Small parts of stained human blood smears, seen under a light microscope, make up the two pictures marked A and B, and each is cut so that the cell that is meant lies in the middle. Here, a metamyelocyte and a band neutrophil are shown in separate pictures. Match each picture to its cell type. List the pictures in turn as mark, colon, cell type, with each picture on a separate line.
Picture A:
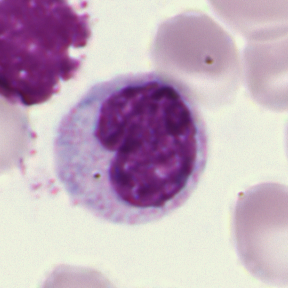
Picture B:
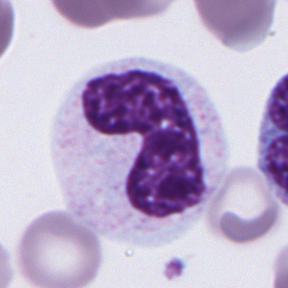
A: metamyelocyte
B: band neutrophil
